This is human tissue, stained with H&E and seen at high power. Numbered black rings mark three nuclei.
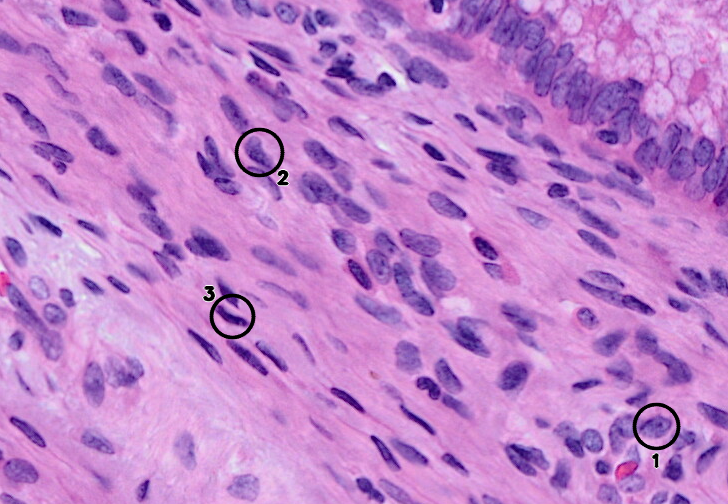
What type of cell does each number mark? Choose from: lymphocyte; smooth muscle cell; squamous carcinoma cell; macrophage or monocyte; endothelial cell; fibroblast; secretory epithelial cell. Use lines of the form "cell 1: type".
cell 1: endothelial cell
cell 2: fibroblast
cell 3: fibroblast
